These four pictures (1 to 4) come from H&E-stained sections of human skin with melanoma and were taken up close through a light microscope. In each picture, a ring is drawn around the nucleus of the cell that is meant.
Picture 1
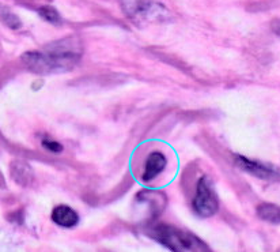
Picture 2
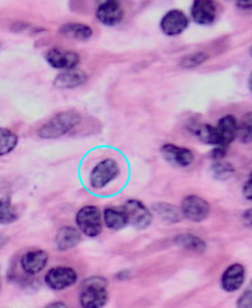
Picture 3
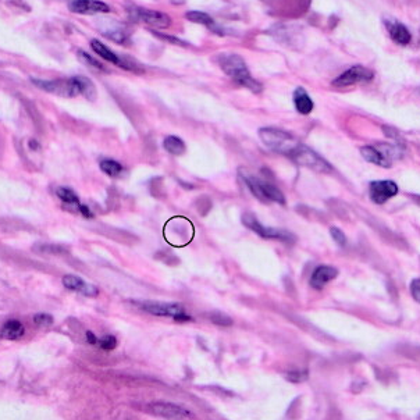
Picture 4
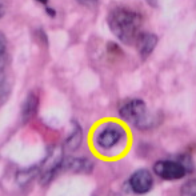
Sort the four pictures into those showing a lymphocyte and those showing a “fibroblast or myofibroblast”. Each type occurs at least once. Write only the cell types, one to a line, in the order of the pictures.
lymphocyte
lymphocyte
fibroblast or myofibroblast
lymphocyte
